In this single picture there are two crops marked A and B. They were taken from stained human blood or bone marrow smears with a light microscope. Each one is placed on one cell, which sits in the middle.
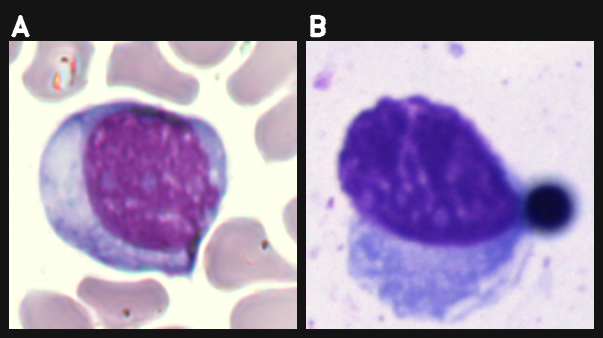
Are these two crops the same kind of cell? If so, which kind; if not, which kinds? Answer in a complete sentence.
Yes, plasma cells are depicted in both crops.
